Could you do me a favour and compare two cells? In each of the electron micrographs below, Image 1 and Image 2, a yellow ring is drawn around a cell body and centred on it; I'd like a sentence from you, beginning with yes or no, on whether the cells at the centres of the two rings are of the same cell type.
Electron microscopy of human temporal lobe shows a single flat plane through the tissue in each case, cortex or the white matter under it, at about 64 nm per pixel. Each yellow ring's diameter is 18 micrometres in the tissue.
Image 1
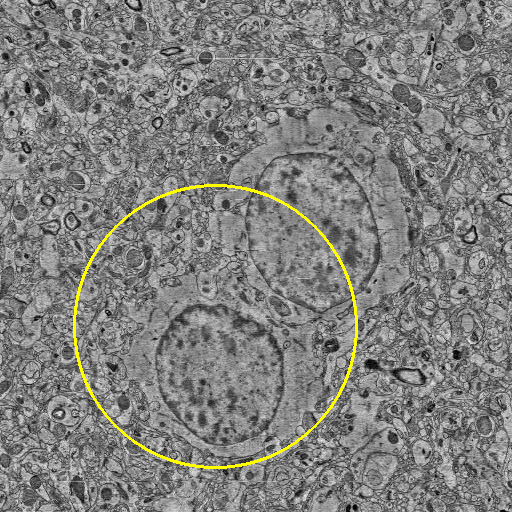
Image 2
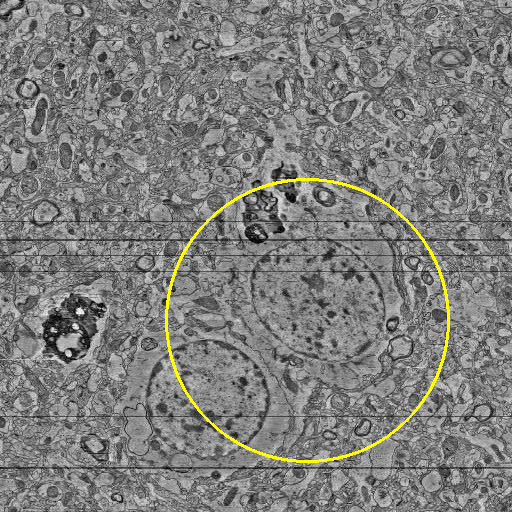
Yes, the two cells are of the same cell type.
